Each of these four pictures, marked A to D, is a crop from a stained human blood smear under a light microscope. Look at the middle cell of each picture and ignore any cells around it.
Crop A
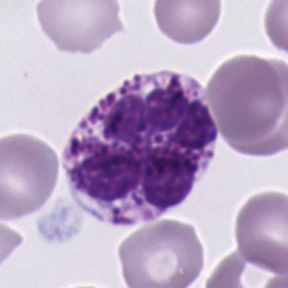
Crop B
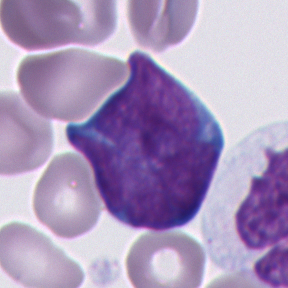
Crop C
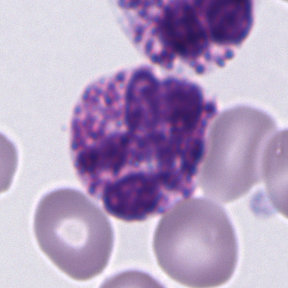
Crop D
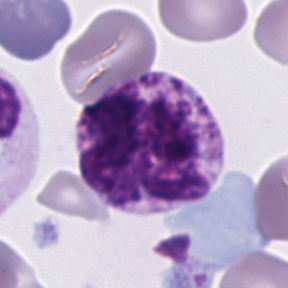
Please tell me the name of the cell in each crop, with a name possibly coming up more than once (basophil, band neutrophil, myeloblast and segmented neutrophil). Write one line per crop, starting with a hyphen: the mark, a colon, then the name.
- A: basophil
- B: myeloblast
- C: basophil
- D: basophil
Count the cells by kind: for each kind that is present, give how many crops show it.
basophil: 3
myeloblast: 1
